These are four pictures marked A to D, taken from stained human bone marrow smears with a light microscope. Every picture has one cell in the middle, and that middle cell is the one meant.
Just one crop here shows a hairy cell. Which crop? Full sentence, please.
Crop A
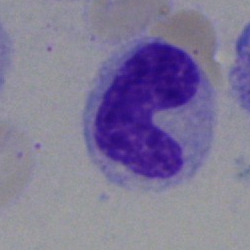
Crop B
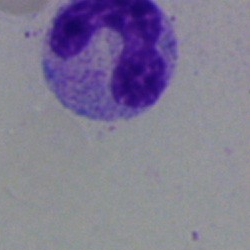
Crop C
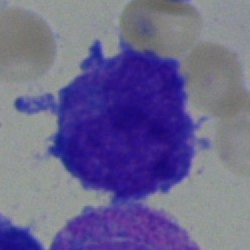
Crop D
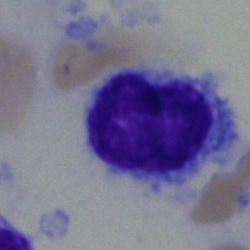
Among the crops given, only crop D shows a hairy cell.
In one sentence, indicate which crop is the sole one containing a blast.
The one that shows a blast is crop C.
